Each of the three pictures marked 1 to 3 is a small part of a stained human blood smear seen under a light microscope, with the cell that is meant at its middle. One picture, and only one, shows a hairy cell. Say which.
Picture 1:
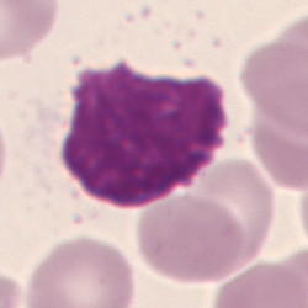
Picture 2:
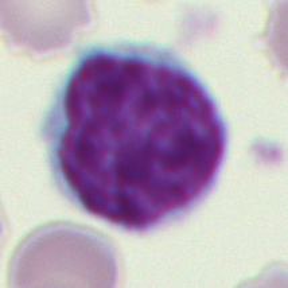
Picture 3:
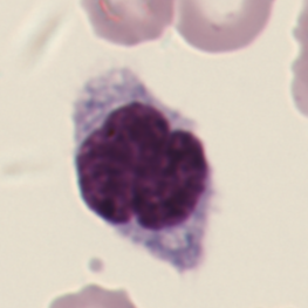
3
